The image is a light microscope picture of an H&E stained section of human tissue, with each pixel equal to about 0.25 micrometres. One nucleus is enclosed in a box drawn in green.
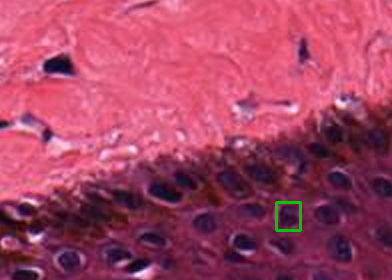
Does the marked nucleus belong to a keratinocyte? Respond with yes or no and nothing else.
yes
